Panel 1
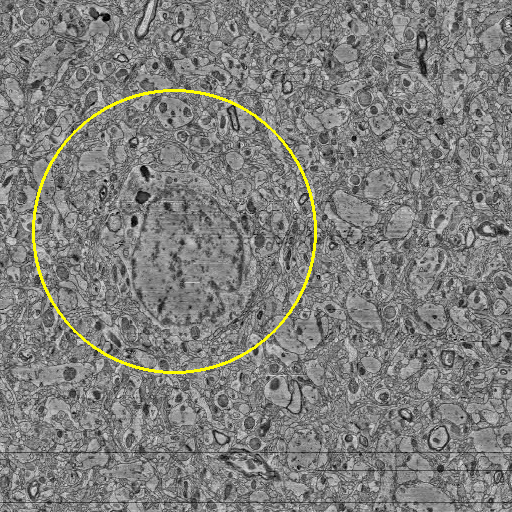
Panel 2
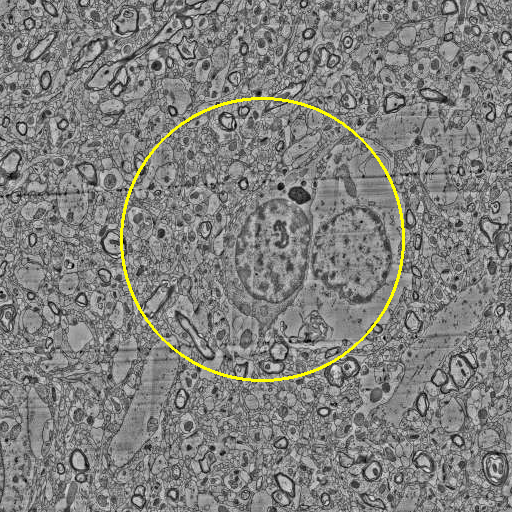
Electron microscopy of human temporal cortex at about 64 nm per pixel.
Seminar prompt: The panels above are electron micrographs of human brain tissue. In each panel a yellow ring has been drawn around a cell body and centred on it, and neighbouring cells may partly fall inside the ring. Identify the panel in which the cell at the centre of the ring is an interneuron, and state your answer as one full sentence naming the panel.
Panel 1 has it at the centre of its ring.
